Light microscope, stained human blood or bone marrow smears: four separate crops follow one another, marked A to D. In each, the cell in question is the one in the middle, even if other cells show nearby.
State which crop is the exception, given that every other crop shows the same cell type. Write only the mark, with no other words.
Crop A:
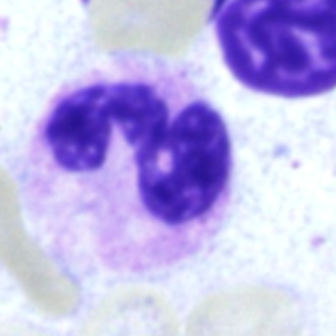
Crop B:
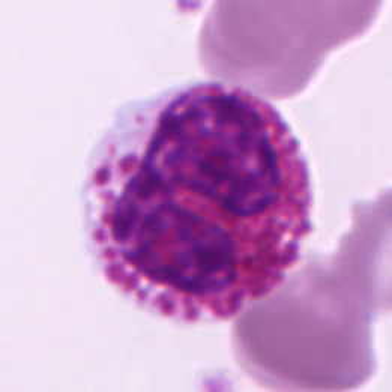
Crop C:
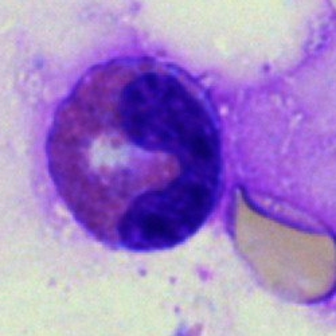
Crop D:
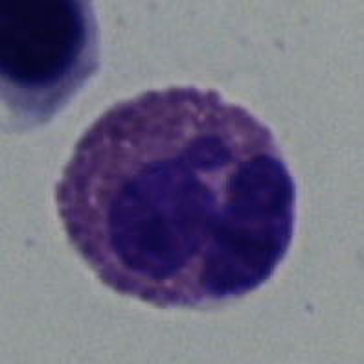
A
